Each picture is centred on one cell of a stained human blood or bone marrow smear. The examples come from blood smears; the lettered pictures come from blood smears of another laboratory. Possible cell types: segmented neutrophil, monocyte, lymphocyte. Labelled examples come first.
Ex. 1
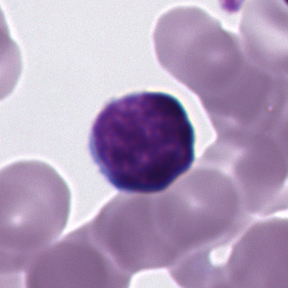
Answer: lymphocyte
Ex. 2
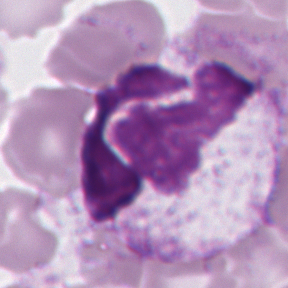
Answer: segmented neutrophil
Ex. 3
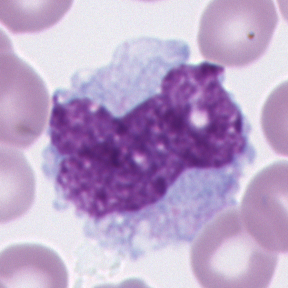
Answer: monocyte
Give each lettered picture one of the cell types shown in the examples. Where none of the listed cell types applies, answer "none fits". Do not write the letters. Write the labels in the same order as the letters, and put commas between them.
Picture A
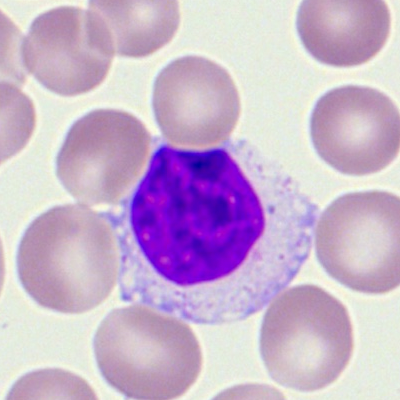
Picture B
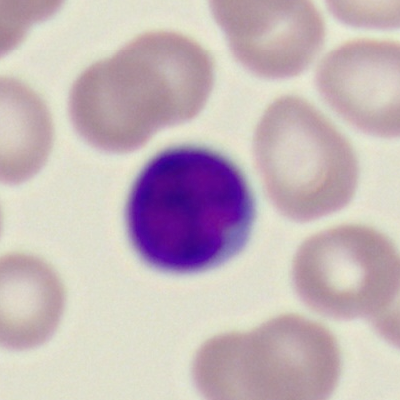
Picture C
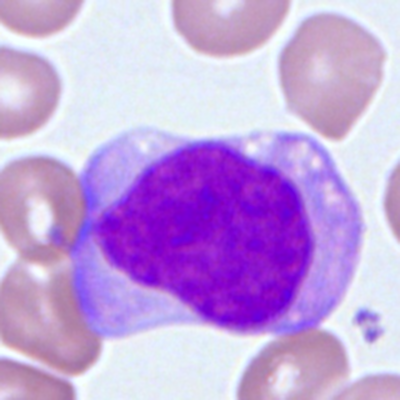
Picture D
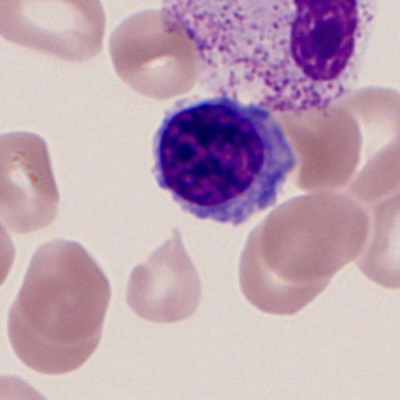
lymphocyte, lymphocyte, monocyte, lymphocyte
